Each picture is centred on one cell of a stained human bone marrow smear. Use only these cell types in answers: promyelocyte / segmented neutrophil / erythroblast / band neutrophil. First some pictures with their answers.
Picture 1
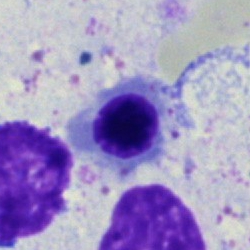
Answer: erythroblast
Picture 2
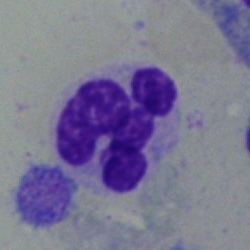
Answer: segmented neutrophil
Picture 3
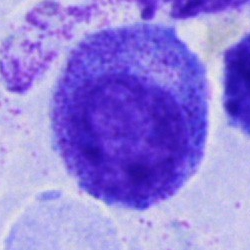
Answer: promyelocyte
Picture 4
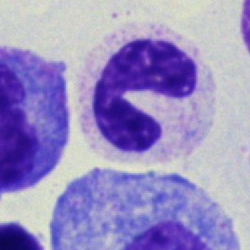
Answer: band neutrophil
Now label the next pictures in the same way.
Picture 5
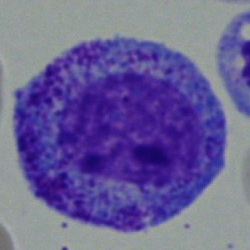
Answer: promyelocyte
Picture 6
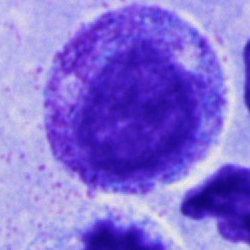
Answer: promyelocyte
